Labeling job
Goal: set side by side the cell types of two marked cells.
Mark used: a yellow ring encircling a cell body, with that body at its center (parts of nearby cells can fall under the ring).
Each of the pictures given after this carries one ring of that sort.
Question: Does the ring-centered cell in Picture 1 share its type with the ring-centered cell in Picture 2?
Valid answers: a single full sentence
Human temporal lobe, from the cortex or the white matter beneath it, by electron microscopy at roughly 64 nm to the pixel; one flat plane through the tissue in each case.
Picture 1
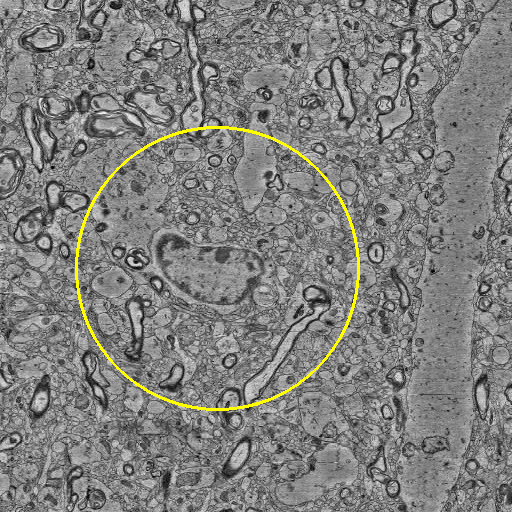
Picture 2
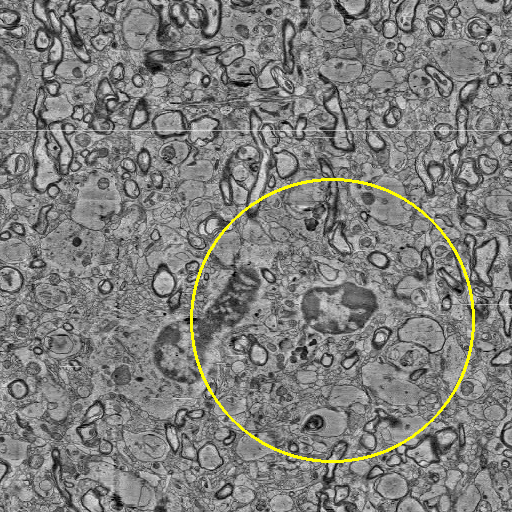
Yes, in Pictures 1 and 2 the cells at the ring centers share one type.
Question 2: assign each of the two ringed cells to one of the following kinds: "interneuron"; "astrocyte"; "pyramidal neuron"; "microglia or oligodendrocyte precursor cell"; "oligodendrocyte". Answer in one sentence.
Both pictures show a microglial cell or oligodendrocyte precursor cell at the centre of the ring.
